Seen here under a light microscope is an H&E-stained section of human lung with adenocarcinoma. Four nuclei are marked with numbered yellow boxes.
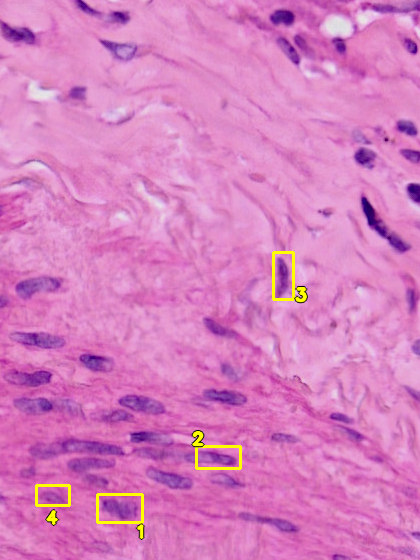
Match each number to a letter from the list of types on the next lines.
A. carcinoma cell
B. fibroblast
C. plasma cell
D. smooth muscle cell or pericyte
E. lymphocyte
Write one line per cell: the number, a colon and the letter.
1: D
2: D
3: B
4: D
